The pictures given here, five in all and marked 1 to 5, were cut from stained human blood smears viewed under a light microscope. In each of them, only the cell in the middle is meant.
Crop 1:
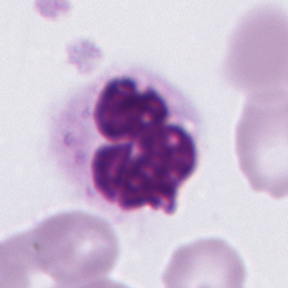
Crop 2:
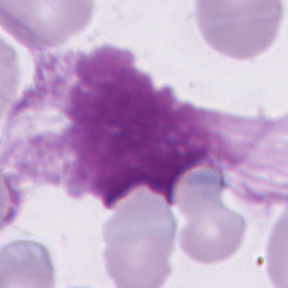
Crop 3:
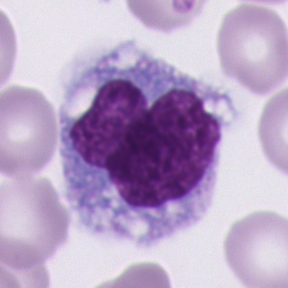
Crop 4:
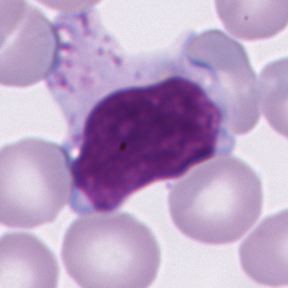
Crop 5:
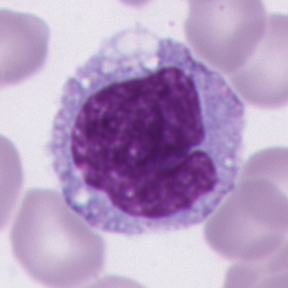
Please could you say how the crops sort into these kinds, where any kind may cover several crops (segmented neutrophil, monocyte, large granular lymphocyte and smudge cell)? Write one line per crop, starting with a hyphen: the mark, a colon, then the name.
- 1: segmented neutrophil
- 2: smudge cell
- 3: monocyte
- 4: large granular lymphocyte
- 5: monocyte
